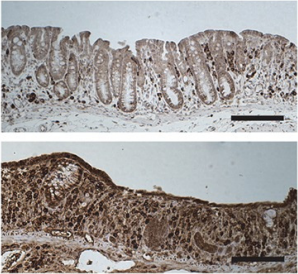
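These are two sections of colonic lining. In the upper section the mucosa is orderly, with long, straight glands standing side by side and lined by columnar epithelial cells, many holding pale mucus vacuoles, and the brown stain is moderate. In the lower section the regular row of glands is largely lost: the mucosa is disorganised, crowded with cells in the stroma, and stained a much deeper brown throughout.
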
